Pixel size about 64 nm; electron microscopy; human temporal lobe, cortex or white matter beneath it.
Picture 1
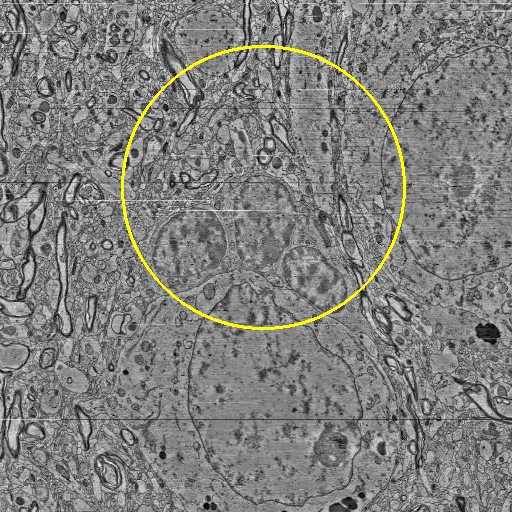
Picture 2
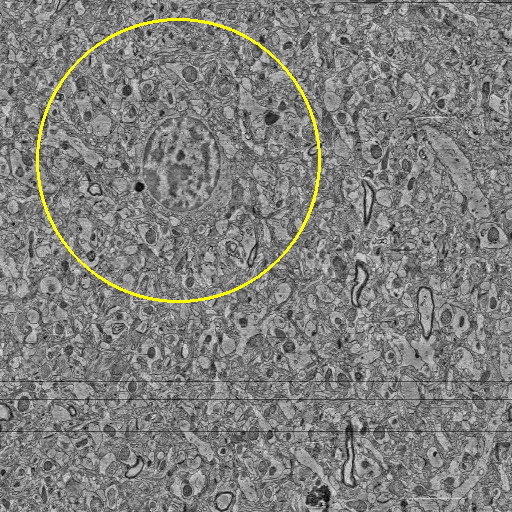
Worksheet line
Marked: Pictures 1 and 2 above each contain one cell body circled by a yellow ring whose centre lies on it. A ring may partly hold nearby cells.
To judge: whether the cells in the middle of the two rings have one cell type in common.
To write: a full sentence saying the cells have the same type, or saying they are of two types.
The cells in the middle of the rings in Picture 1 and Picture 2 have the same type.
